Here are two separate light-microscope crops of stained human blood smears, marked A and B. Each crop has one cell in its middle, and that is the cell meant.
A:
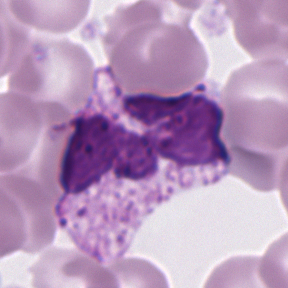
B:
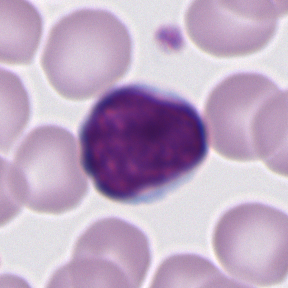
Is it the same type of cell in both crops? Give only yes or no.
no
